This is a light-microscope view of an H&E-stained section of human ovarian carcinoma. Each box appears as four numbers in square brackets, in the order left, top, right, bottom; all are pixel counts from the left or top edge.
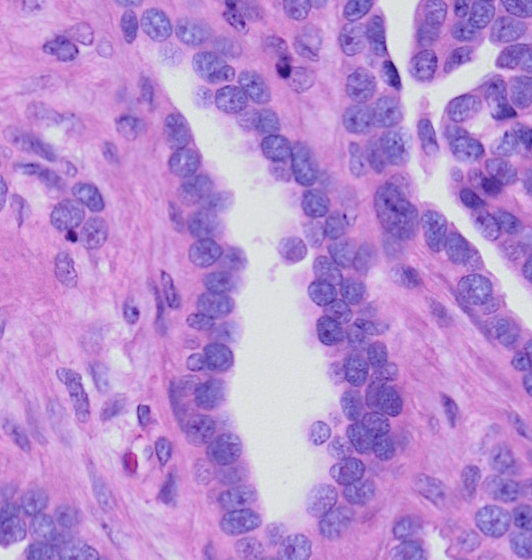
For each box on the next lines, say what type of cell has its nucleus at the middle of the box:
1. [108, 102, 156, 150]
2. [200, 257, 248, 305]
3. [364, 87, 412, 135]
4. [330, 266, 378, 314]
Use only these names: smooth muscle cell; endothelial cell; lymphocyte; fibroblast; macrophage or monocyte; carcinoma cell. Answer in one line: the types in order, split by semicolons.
fibroblast; carcinoma cell; carcinoma cell; carcinoma cell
